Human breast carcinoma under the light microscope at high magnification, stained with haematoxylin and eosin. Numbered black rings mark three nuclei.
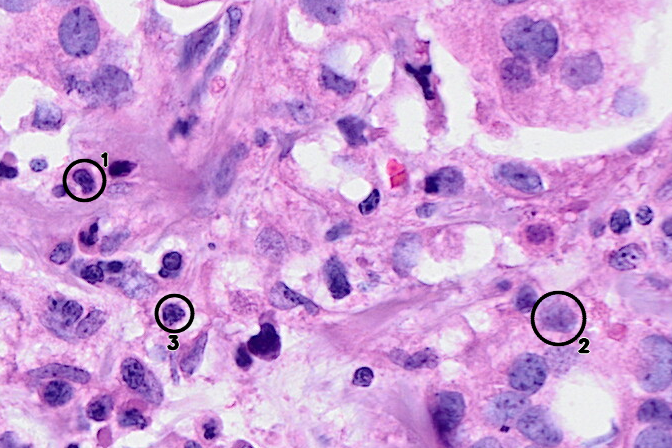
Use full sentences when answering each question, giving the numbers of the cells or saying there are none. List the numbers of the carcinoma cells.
Mind that only cell 2 is a carcinoma cell, none of the rest.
